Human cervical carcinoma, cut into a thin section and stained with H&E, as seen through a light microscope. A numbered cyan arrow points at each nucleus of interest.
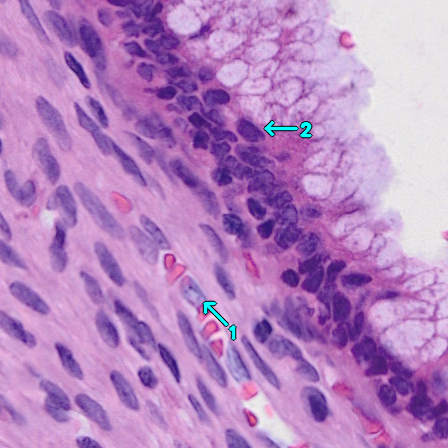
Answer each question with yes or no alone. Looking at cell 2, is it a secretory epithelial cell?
yes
